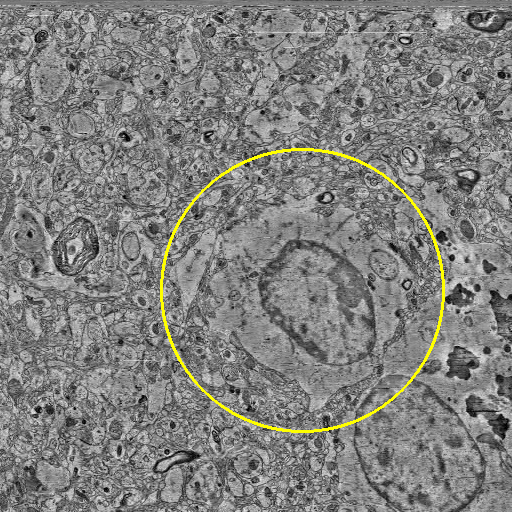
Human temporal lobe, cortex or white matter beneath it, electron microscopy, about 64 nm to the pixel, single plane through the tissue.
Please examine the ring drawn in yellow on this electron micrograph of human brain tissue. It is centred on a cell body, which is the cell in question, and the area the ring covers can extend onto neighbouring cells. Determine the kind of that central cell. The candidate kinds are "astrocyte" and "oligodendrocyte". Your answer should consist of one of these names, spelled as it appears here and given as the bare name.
astrocyte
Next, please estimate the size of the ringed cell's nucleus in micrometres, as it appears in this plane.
The nucleus comes to roughly 9 by 7 micrometres in this plane.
